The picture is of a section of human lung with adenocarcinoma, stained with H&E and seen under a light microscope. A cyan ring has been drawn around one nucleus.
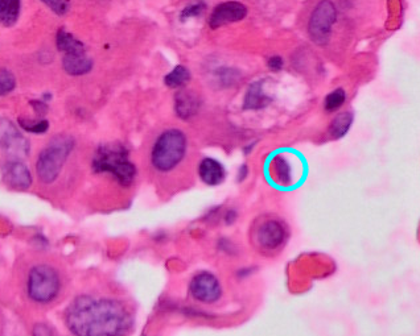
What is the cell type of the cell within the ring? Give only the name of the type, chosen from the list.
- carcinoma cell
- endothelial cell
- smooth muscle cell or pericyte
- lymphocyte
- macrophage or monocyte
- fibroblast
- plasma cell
endothelial cell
